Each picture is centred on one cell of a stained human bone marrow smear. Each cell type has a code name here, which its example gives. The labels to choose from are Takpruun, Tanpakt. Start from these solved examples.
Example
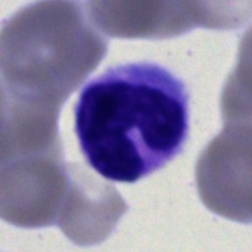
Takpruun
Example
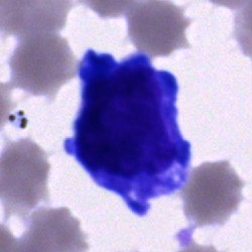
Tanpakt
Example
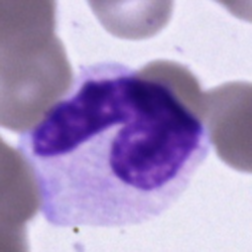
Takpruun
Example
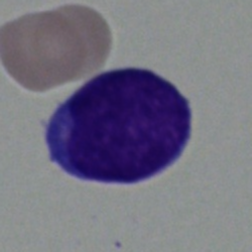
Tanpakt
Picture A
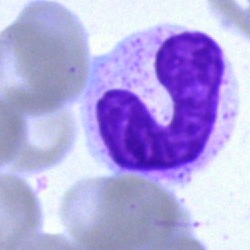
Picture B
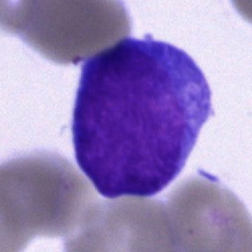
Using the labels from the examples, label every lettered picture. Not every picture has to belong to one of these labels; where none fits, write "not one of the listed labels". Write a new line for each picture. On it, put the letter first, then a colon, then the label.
A: Takpruun
B: Tanpakt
